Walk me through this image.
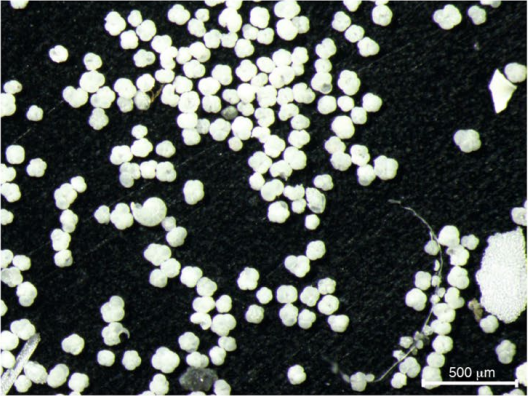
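These are many small shells of planktic forams, lying loose on a dark background and lit from above. Each shell is chalky white and built of several rounded chambers that cluster together, giving a lumpy, berry-like outline.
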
